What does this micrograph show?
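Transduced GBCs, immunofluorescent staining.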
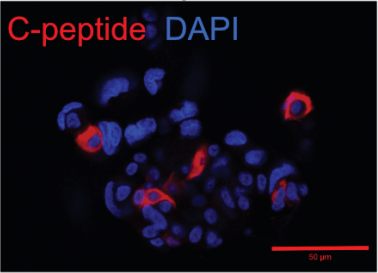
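A small, loose cluster of cultured cells is shown, with oval to irregular blue nuclei of varying size. A few scattered cells carry red staining in the cytoplasm, forming rings or crescents around their nuclei, while most cells show only blue nuclei.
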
